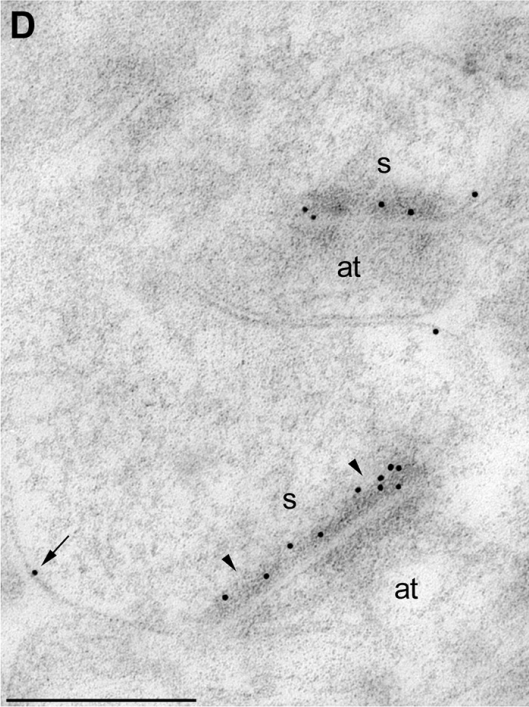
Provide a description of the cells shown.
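This is a high-power electron micrograph of neuropil showing two dendritic spines, each facing an axon terminal. Where a spine meets its terminal there is a dark, thickened band on the spine side of the contact, marking an asymmetrical synapse. Small black gold particles gather along this dark band. A single particle also sits on the spine membrane well away from the contact.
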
